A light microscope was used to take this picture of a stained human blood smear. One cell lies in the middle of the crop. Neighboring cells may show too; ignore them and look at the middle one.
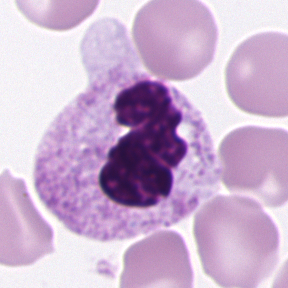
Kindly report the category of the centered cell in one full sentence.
The cell at the middle of the crop is recognized as a segmented neutrophil.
